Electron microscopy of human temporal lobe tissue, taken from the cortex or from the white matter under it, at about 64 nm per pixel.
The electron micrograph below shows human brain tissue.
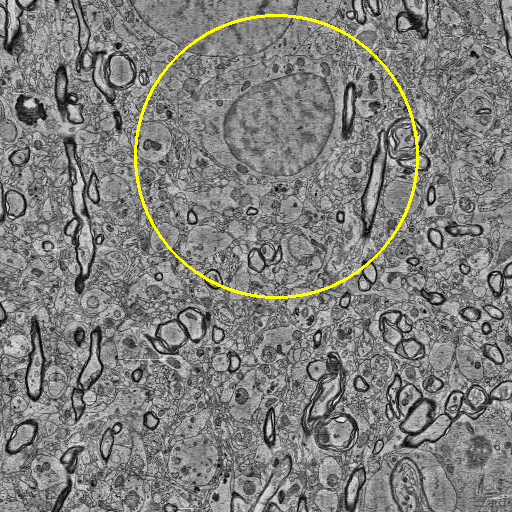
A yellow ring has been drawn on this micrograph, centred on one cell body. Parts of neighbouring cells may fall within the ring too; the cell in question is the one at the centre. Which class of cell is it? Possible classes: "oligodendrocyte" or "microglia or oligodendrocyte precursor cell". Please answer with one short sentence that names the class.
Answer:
In the centre of the ring sits an oligodendrocyte.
